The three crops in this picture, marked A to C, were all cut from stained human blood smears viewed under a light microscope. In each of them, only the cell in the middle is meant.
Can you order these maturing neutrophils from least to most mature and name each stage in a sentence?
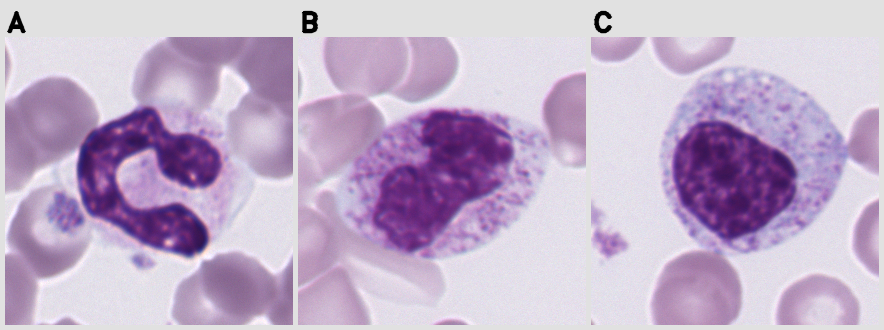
Ordered from least to most mature, the cells run crop C (a myelocyte), crop B (a band neutrophil) and crop A (a segmented neutrophil).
